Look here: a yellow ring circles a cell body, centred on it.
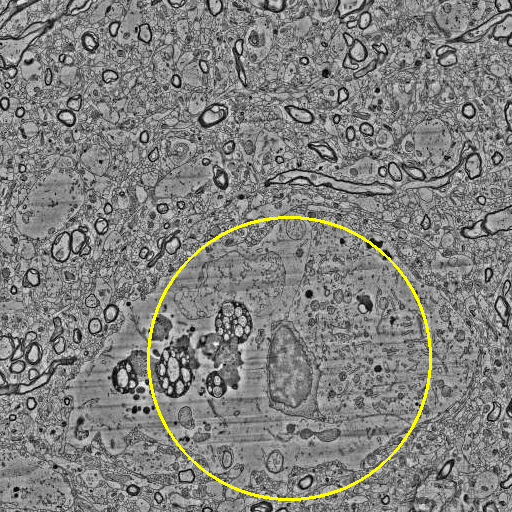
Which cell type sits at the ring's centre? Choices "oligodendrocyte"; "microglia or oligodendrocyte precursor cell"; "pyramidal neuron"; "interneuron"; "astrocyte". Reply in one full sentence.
The cell at the centre of the yellow ring in the picture is an oligodendrocyte.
